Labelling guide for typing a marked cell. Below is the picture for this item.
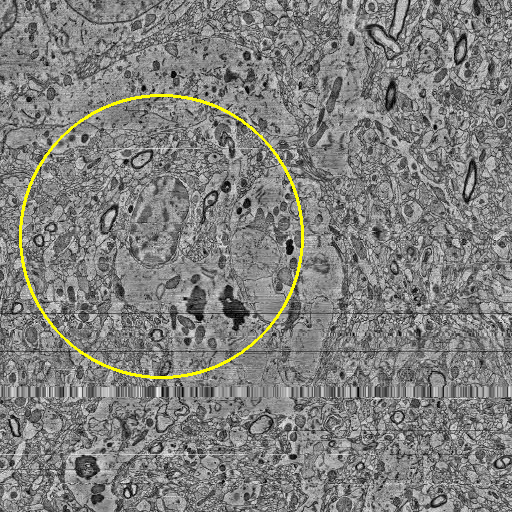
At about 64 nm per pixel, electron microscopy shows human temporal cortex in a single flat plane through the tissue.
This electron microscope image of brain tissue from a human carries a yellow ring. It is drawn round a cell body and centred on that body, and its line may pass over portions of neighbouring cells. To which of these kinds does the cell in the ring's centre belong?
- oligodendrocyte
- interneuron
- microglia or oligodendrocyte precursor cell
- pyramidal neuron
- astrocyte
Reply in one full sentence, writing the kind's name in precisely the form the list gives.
Here we have a microglial cell or oligodendrocyte precursor cell at the centre of the yellow ring in the picture.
